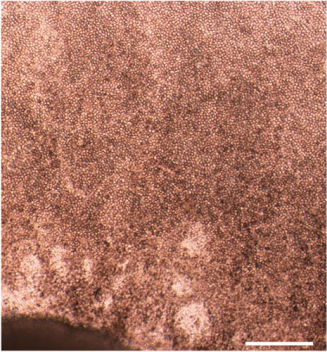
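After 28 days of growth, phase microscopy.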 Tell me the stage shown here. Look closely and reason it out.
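Uniformly pigmented. The brown tint is spread across densely packed small cells throughout the field.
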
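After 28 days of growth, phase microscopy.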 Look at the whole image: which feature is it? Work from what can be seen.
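Cell monolayers. Small cells are packed side by side in one continuous sheet. No piling or gaps are seen across most of the field.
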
